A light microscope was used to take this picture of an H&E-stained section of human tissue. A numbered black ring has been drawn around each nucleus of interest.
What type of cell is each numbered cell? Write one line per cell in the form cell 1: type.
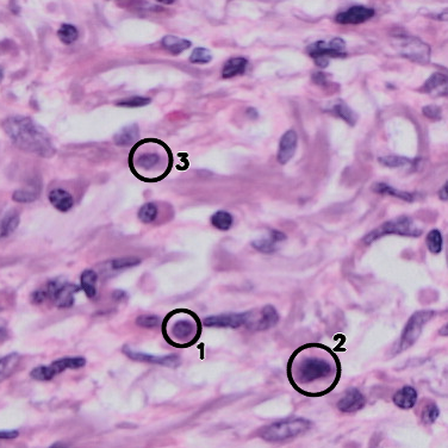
cell 1: plasma cell
cell 2: plasma cell
cell 3: macrophage or monocyte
